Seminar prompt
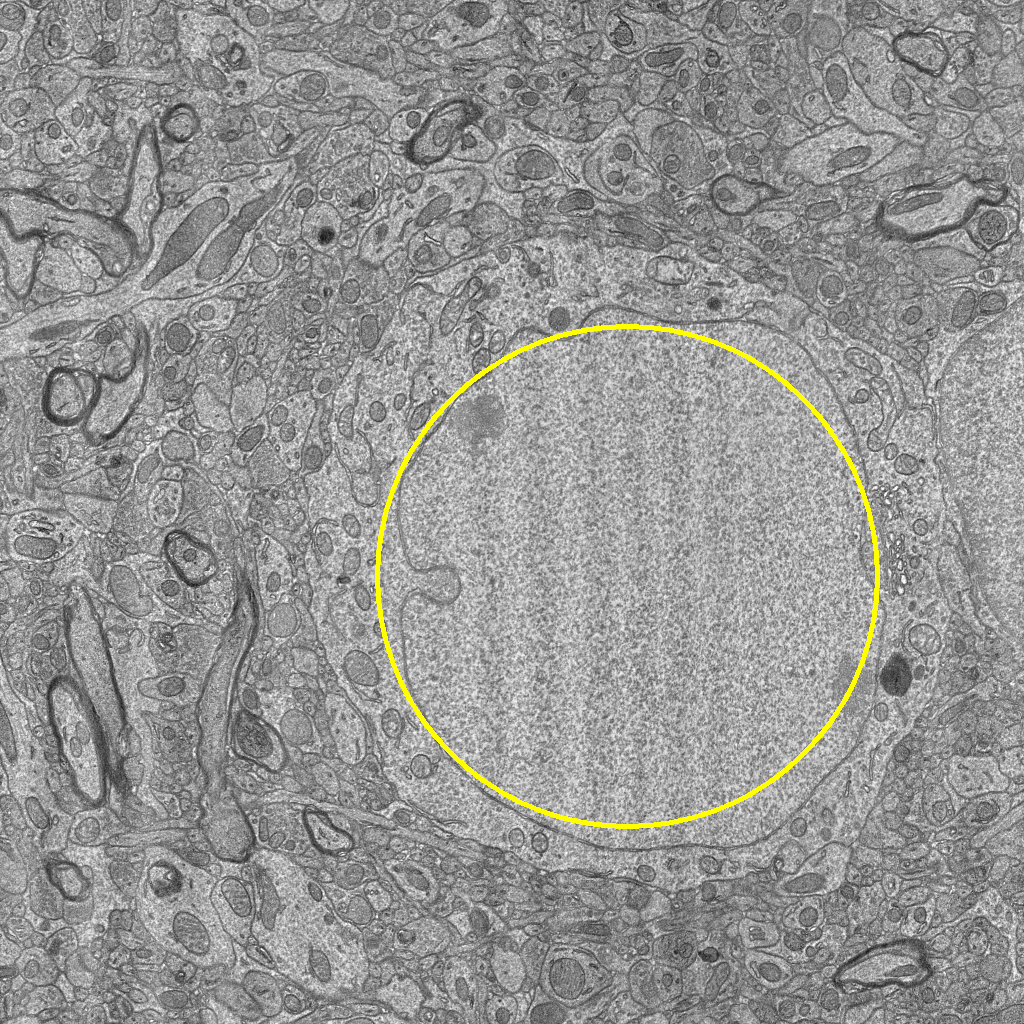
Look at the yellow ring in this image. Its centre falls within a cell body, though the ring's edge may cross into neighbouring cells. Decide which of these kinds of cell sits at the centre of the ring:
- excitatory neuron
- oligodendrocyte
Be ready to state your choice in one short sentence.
The kind of cell at the ring's centre is an excitatory neuron.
